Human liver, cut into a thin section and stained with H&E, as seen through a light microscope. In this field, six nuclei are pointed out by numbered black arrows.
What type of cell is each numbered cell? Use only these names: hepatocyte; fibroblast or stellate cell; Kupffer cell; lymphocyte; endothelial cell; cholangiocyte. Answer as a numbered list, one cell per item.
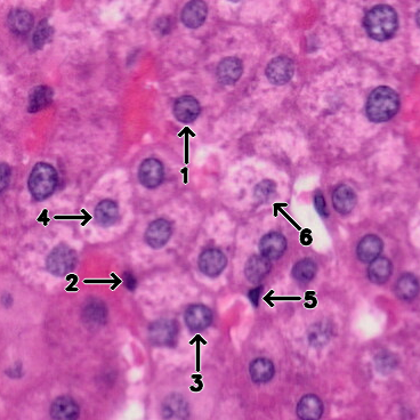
1. hepatocyte
2. fibroblast or stellate cell
3. hepatocyte
4. hepatocyte
5. fibroblast or stellate cell
6. hepatocyte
